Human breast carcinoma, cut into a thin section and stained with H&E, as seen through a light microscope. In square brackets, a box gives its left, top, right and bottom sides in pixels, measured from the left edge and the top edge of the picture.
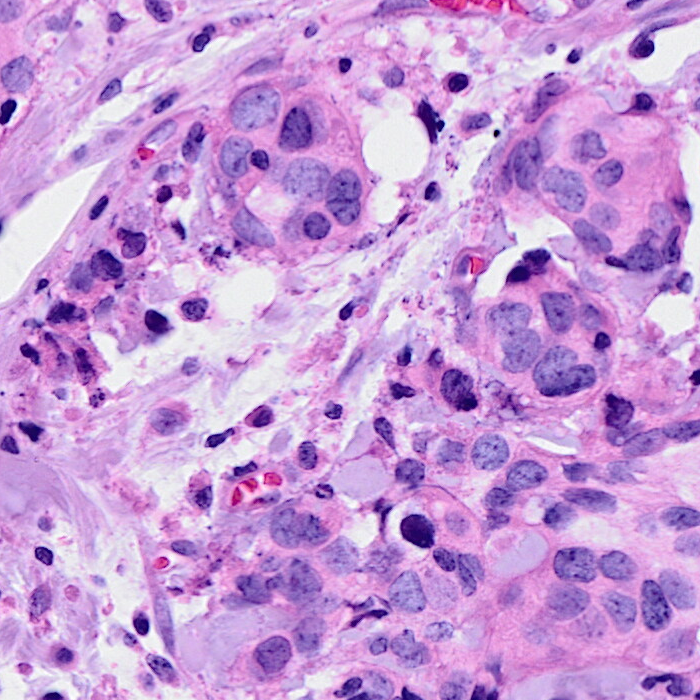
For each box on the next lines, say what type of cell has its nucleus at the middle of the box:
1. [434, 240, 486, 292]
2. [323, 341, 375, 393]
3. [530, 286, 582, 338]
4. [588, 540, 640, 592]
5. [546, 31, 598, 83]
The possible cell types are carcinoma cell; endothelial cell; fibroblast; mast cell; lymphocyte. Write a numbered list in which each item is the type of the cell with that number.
1. endothelial cell
2. fibroblast
3. carcinoma cell
4. carcinoma cell
5. lymphocyte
